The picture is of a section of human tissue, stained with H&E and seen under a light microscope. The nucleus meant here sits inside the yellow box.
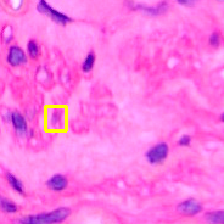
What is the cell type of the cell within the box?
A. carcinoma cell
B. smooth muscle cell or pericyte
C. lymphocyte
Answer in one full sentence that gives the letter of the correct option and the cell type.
Given that the cell within the box is a smooth muscle cell or pericyte, option B is the correct one.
